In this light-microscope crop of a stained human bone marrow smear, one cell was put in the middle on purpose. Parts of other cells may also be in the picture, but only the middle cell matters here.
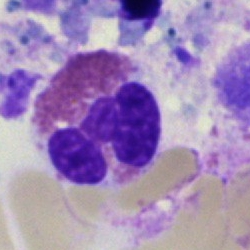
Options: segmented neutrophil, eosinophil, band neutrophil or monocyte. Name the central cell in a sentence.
The cell found in the middle of this crop is an eosinophil.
